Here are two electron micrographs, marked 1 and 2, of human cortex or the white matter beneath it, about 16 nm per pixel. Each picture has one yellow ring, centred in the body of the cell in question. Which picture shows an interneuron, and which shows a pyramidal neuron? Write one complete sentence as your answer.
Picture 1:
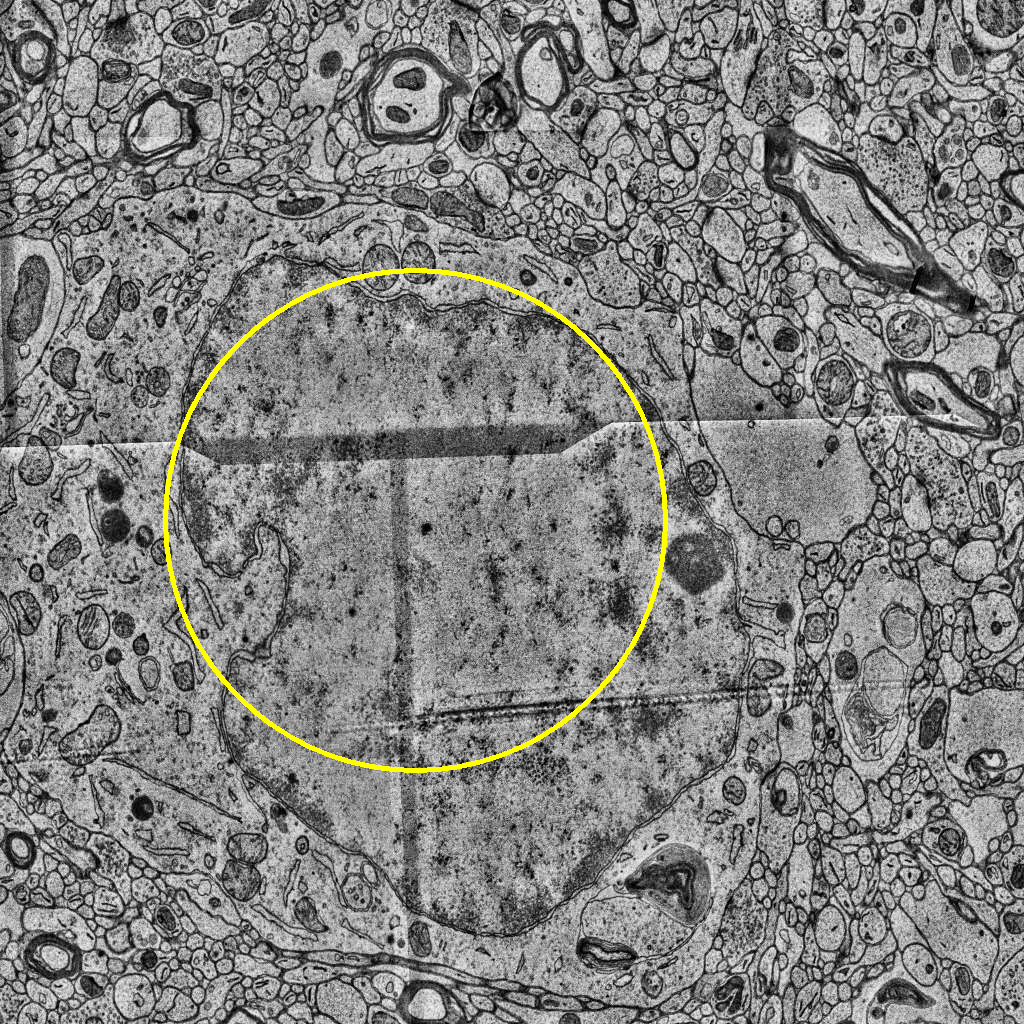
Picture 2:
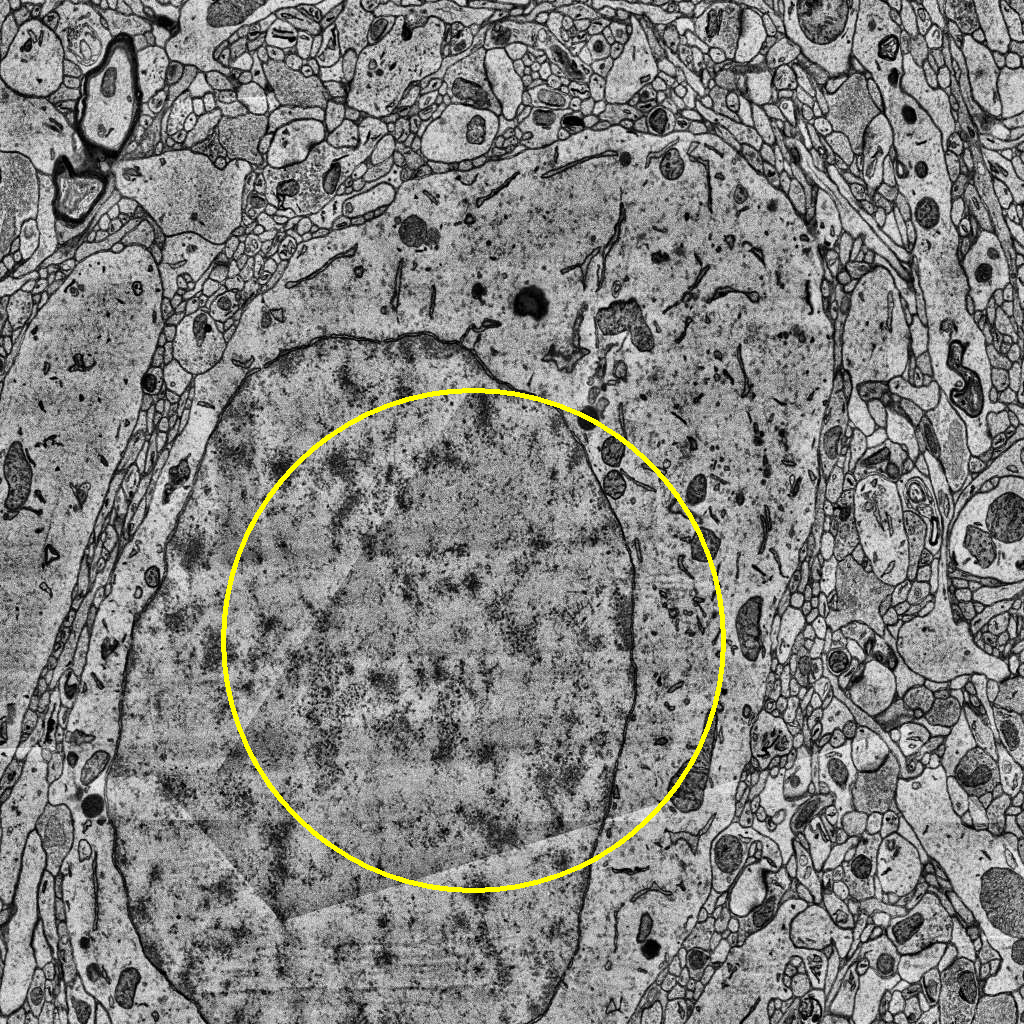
Picture 2 shows a pyramidal neuron, while picture 1 shows an interneuron.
